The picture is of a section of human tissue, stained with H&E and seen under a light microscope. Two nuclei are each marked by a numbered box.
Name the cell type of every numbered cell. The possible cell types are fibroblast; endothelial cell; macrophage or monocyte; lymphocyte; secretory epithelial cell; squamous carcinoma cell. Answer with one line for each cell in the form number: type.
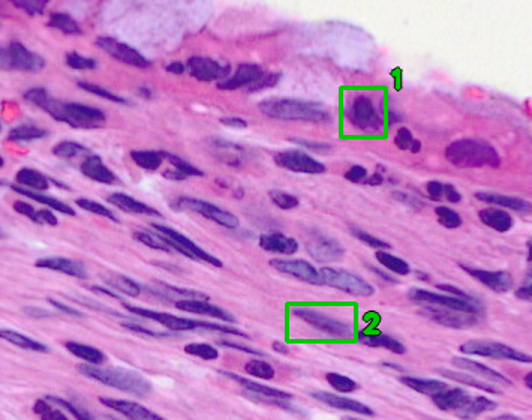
1: secretory epithelial cell
2: fibroblast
